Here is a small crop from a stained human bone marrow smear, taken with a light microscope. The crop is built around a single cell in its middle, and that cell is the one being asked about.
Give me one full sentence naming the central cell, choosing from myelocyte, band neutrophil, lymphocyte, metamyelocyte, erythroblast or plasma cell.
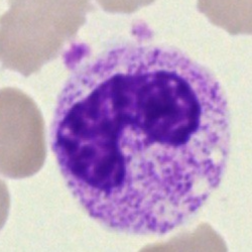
The crop's centre is taken up by a band neutrophil.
